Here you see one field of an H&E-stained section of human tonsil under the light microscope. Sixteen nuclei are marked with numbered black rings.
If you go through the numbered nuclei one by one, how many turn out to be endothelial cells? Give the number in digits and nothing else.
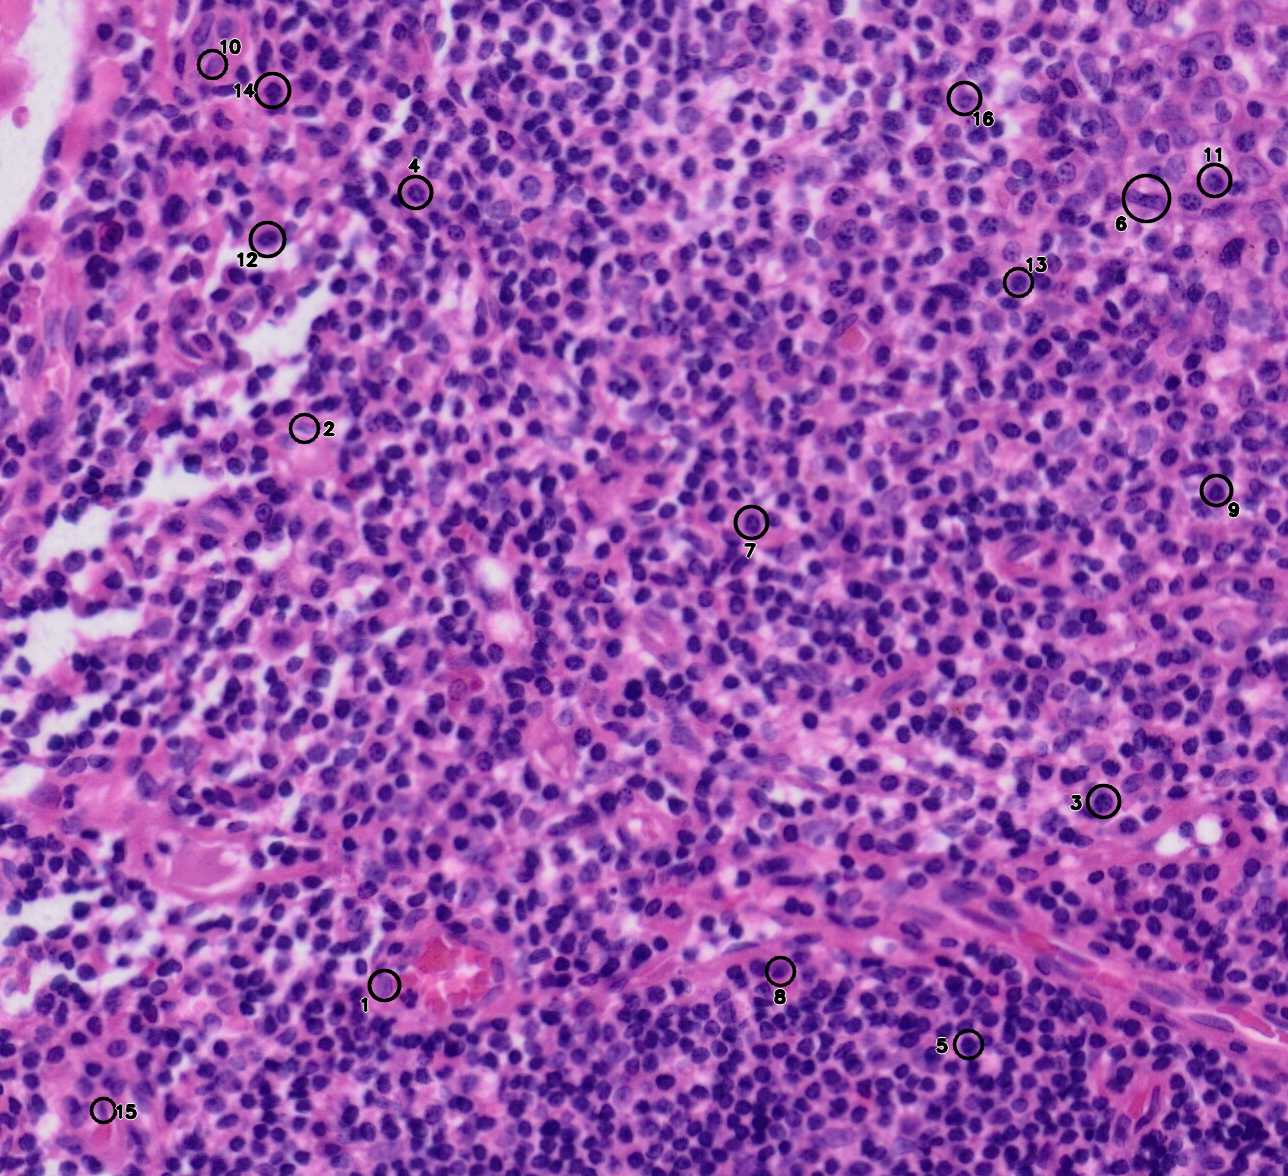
5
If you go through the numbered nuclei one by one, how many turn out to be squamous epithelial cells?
1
